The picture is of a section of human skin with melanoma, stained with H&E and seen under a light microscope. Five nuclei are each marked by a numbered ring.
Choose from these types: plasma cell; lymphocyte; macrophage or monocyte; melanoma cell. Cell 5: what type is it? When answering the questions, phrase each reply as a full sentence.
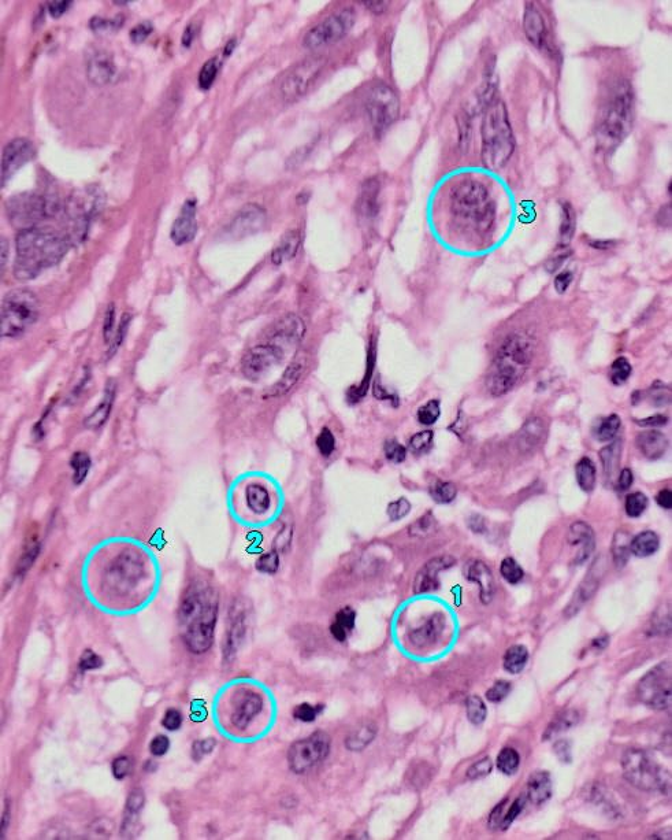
Marked with the number 5, this cell is a macrophage or monocyte.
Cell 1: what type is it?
The one labeled 1 is a melanoma cell, to put it simply.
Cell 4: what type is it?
Numbered cell 4 is a melanoma cell in this tissue section.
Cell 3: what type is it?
Here, the cell given the number 3 is a melanoma cell.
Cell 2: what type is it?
Here, the cell given the number 2 is a lymphocyte.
